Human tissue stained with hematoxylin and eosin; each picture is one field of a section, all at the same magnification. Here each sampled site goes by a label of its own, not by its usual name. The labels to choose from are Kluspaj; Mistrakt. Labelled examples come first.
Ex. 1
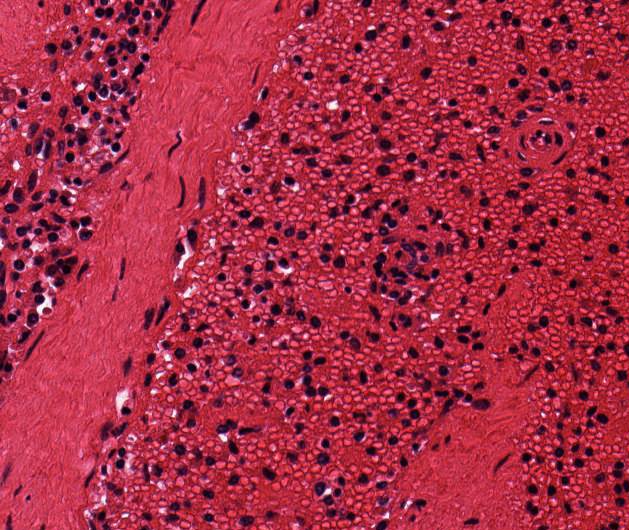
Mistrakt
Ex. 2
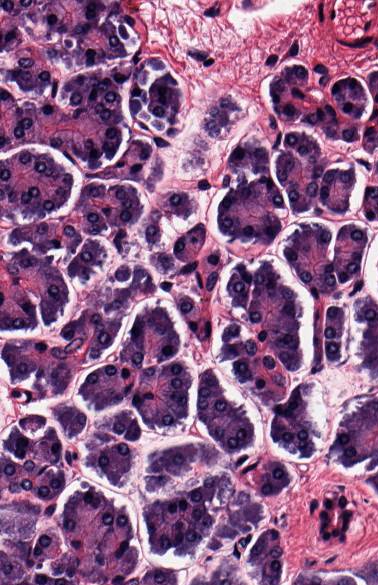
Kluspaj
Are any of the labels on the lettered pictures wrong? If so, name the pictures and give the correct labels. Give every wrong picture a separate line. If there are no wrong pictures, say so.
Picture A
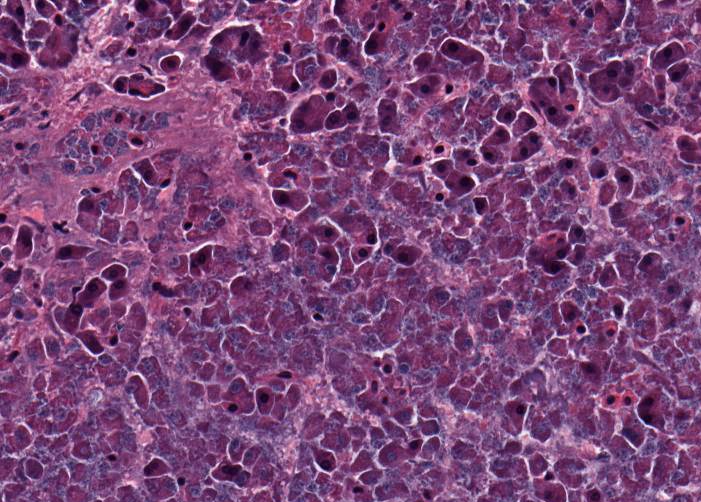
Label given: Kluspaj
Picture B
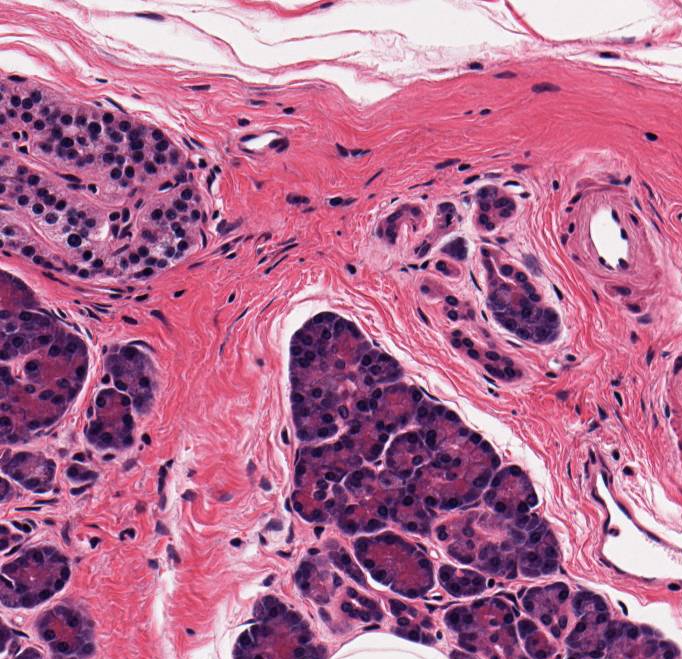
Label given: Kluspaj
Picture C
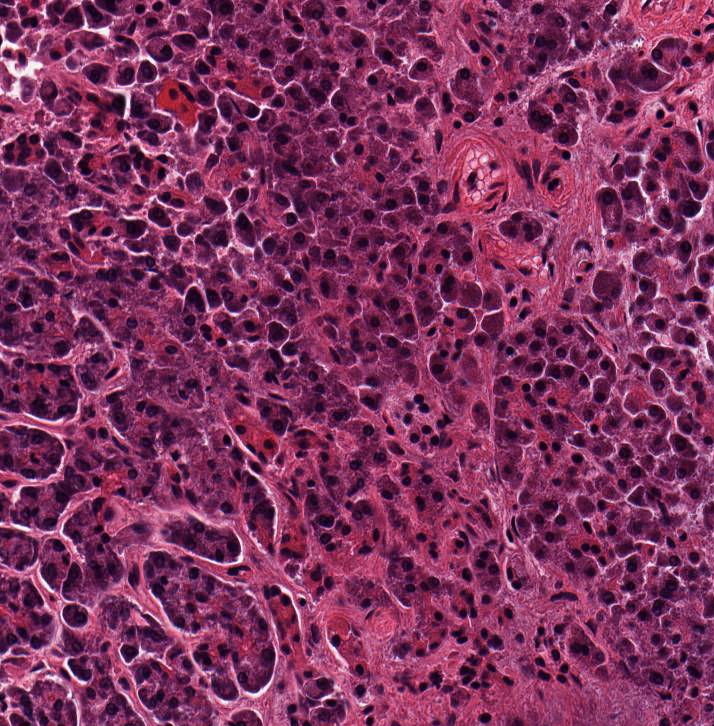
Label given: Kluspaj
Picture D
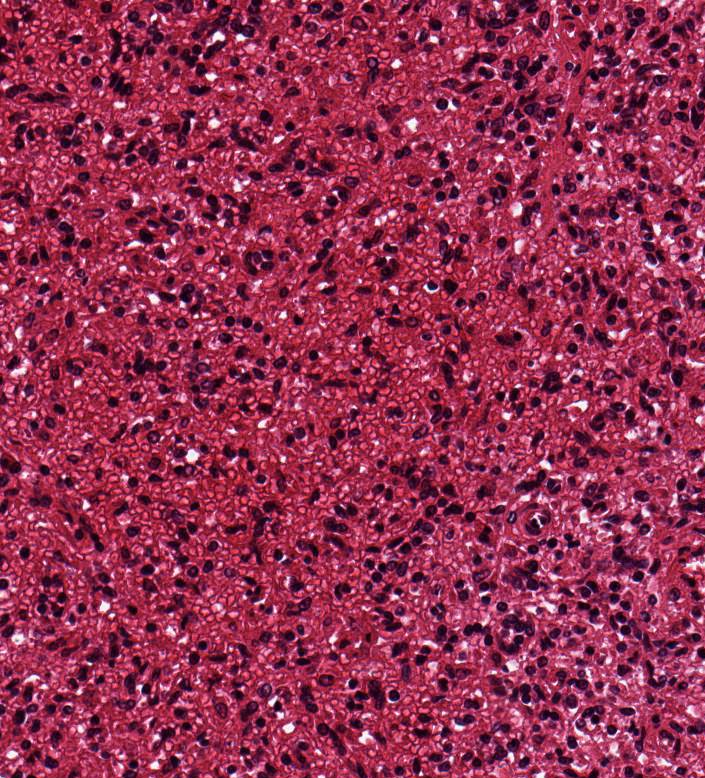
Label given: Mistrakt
All labels are correct.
